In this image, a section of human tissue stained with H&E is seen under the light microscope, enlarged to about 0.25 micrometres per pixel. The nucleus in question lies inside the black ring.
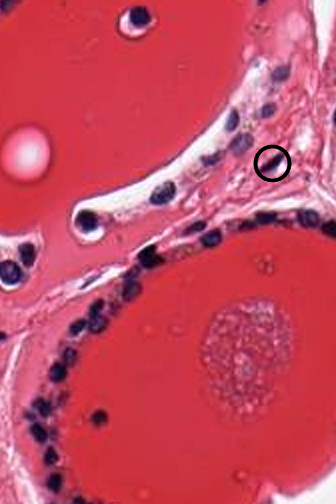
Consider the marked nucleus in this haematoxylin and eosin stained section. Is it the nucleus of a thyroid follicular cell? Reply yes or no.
no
